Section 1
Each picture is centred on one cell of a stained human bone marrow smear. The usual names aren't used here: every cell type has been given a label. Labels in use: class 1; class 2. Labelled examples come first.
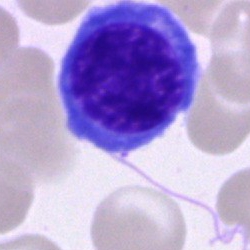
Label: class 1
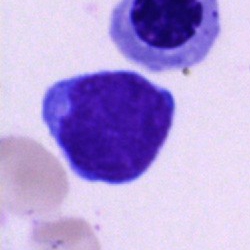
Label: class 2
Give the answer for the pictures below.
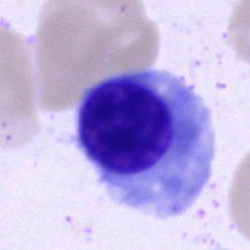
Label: class 1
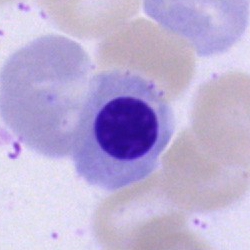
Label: class 1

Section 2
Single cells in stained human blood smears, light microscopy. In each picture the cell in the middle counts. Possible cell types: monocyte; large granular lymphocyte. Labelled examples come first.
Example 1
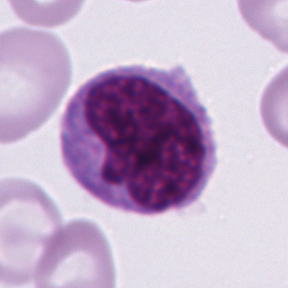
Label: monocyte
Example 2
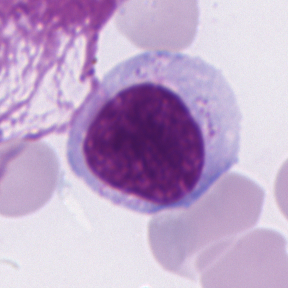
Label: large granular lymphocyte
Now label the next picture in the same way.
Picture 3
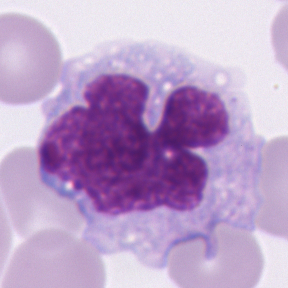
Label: monocyte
